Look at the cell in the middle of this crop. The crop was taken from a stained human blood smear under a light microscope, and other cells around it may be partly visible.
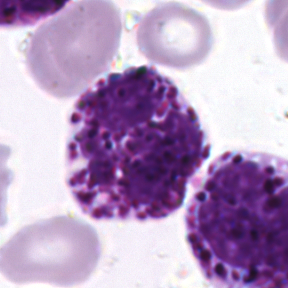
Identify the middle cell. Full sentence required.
The cell at the centre of the field is a basophil.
